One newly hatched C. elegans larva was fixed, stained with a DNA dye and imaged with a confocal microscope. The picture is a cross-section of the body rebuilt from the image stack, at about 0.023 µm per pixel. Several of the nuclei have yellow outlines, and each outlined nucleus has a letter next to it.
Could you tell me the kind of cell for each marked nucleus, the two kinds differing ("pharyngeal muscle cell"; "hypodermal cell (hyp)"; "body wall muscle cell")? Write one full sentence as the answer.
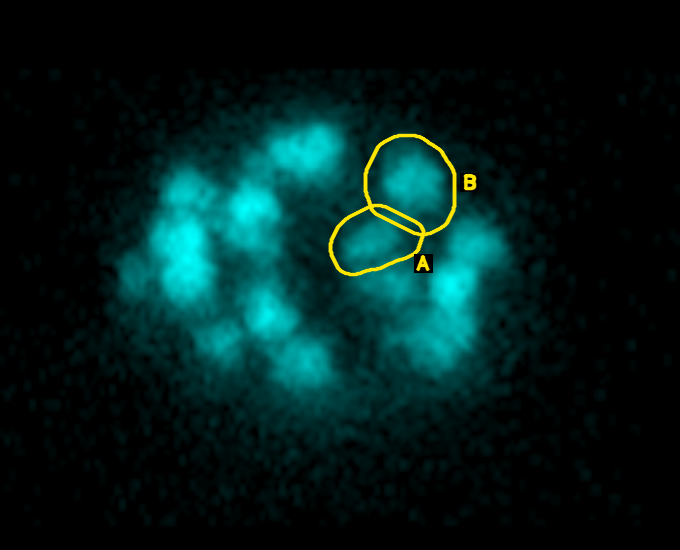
A is in a pharyngeal muscle cell and B is in a body wall muscle cell.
